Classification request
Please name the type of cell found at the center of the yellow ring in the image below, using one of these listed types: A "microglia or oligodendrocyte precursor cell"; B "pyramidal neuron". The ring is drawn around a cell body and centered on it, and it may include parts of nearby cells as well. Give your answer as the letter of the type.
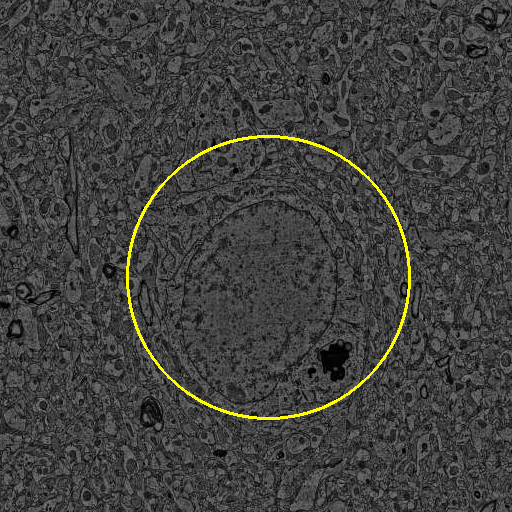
B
